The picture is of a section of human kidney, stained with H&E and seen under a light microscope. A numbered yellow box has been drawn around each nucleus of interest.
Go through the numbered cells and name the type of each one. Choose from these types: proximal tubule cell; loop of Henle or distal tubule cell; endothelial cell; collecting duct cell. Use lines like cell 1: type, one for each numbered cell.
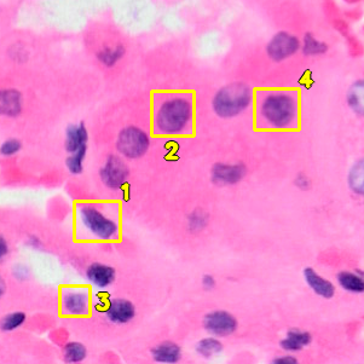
cell 1: endothelial cell
cell 2: proximal tubule cell
cell 3: loop of Henle or distal tubule cell
cell 4: proximal tubule cell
